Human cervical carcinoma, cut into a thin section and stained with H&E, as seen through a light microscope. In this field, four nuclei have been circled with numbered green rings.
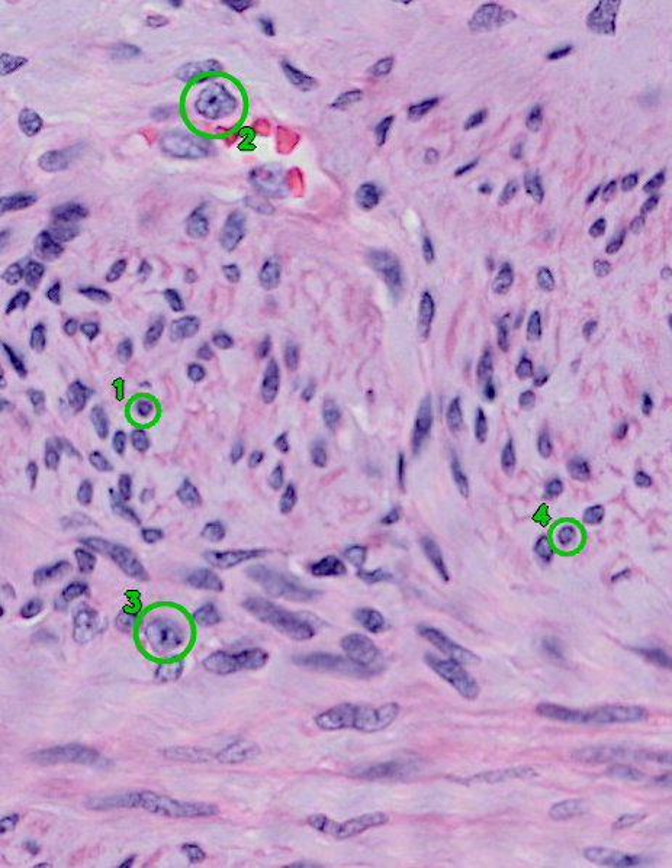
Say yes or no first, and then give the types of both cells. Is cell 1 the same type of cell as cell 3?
No, not so; cell 1 is a smooth muscle cell and cell 3 is an endothelial cell.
